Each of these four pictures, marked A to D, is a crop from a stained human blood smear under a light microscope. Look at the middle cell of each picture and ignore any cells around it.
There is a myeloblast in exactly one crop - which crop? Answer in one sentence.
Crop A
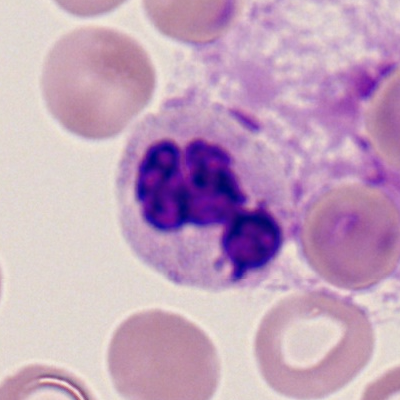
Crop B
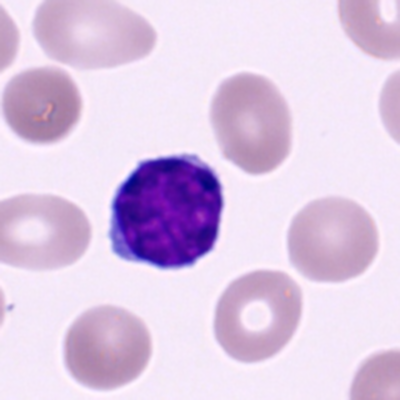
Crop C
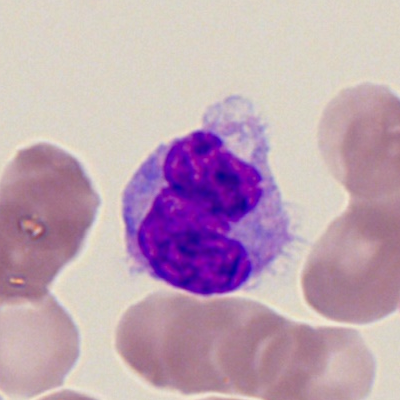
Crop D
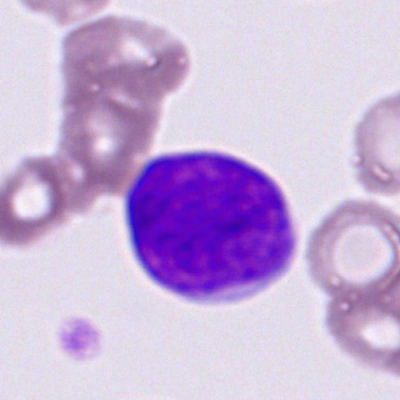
Selected crop: D, which is the one that shows a myeloblast.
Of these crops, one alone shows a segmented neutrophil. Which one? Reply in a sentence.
Here the crop that shows a segmented neutrophil is crop A.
